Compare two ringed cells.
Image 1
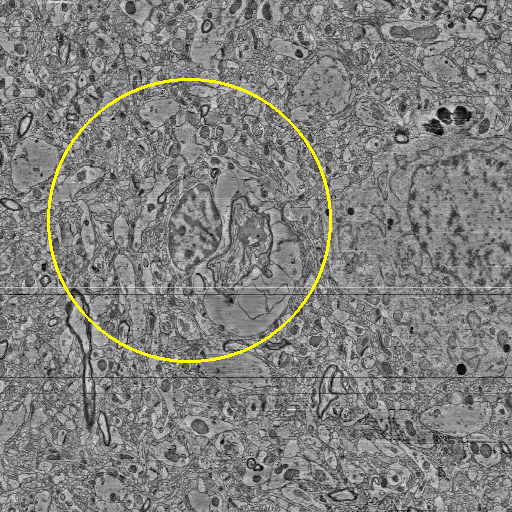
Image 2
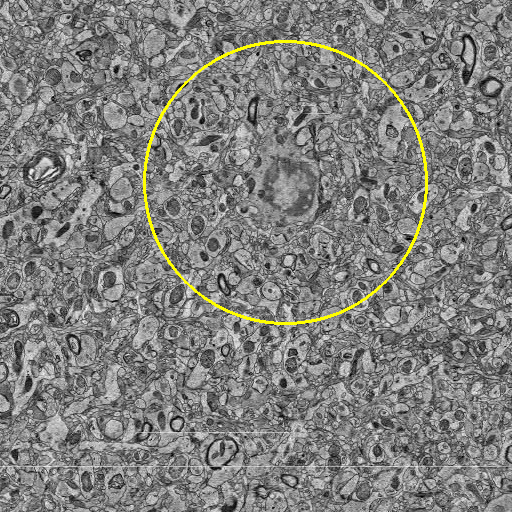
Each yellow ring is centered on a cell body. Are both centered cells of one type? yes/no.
no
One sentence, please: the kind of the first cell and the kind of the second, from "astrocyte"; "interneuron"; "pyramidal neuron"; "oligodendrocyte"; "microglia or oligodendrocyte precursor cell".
The ring in the first picture surrounds a microglial cell or oligodendrocyte precursor cell, and the ring in the second surrounds an oligodendrocyte.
